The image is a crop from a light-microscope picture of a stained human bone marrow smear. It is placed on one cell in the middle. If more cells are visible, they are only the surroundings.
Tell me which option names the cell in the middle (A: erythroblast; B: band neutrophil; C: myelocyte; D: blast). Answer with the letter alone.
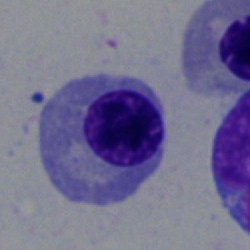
A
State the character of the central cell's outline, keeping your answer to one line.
Its periphery is smooth, and no projections arise from it.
